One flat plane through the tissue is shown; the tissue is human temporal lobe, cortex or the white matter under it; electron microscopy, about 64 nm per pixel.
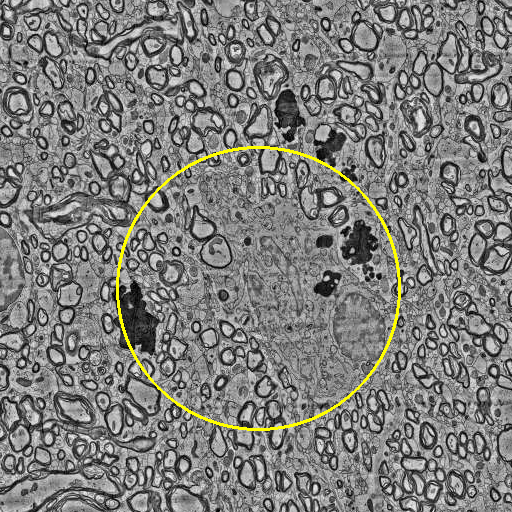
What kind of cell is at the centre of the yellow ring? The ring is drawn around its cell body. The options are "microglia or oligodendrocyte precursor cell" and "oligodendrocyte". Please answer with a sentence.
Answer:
The yellow ring marks the cell body of an oligodendrocyte.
